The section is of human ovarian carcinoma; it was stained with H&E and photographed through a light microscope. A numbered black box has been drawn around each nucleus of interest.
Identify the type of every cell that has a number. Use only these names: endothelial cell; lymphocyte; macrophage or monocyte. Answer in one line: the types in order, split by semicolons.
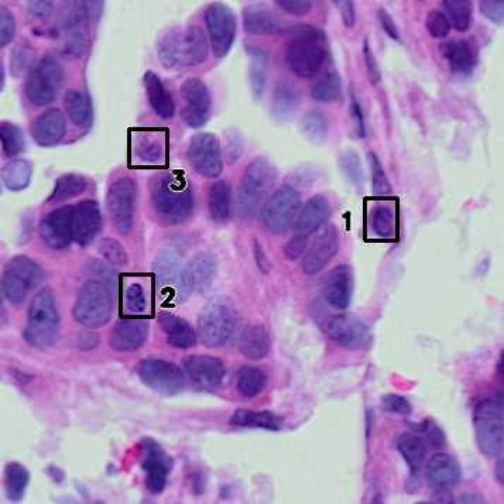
macrophage or monocyte; lymphocyte; macrophage or monocyte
